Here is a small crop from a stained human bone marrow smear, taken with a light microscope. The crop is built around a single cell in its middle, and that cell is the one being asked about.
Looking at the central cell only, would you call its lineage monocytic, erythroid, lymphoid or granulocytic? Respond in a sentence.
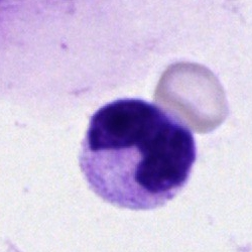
The middle cell is a constituent of the granulocytic lineage.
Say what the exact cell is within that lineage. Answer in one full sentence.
Framed in the middle of the crop is a band neutrophil.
